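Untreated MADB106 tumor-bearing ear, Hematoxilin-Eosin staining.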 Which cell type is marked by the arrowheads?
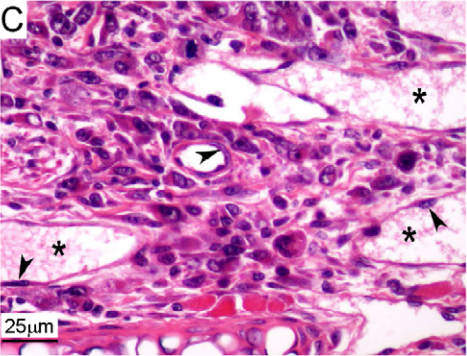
Endothelial cells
